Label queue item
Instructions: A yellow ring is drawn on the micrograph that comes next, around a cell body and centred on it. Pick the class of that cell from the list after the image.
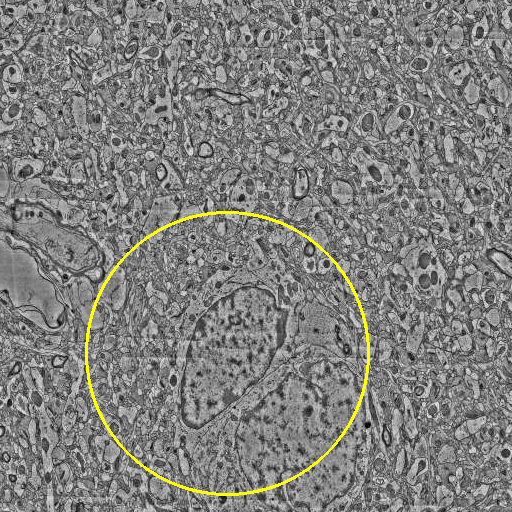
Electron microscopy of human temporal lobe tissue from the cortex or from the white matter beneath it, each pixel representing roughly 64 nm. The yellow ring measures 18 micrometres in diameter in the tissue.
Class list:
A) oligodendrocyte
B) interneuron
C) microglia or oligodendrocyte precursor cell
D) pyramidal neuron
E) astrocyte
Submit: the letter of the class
C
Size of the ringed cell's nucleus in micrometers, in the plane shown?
The nucleus is approximately 10 micrometres long but only about 5 wide, clearly longer than it is wide in this plane.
